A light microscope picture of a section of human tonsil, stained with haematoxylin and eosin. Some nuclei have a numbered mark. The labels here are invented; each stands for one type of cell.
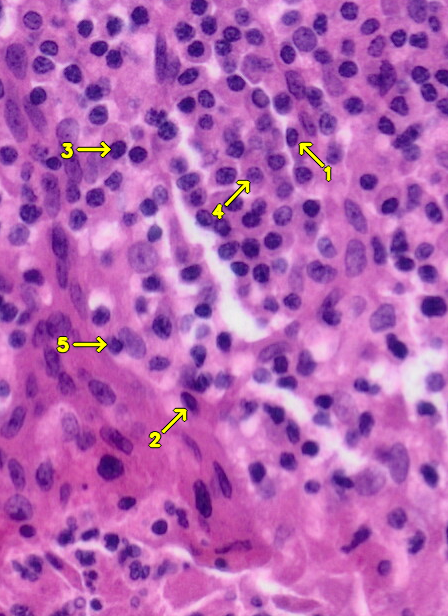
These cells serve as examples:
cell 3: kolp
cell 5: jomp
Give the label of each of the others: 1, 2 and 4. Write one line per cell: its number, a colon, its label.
1: kolp
2: jomp
4: kolp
